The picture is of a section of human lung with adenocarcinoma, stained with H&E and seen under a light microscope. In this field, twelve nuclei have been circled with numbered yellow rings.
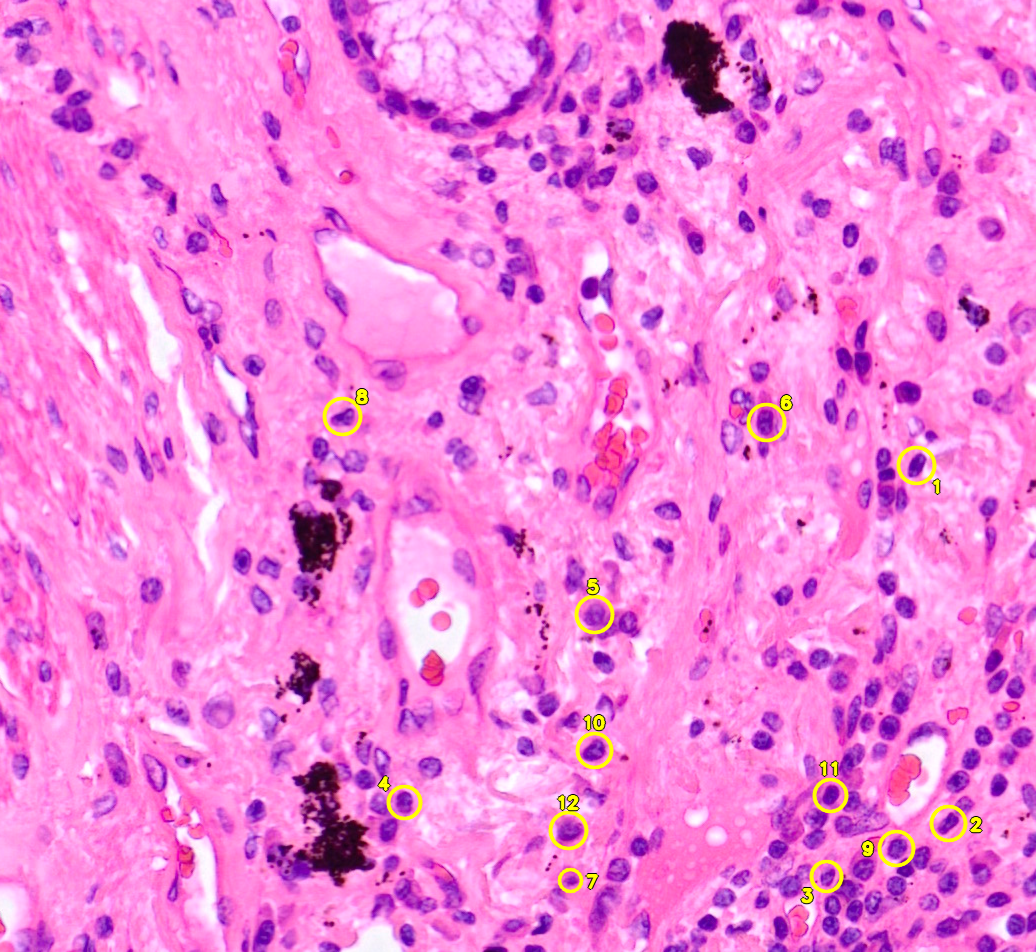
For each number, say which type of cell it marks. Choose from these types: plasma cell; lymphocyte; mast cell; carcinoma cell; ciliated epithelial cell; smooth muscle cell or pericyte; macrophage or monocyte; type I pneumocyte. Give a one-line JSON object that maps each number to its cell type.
{"1": "lymphocyte", "2": "lymphocyte", "3": "lymphocyte", "4": "lymphocyte", "5": "plasma cell", "6": "plasma cell", "7": "plasma cell", "8": "lymphocyte", "9": "lymphocyte", "10": "plasma cell", "11": "lymphocyte", "12": "plasma cell"}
